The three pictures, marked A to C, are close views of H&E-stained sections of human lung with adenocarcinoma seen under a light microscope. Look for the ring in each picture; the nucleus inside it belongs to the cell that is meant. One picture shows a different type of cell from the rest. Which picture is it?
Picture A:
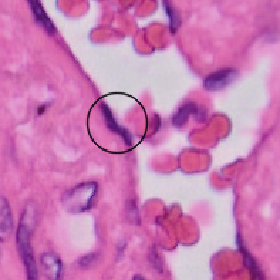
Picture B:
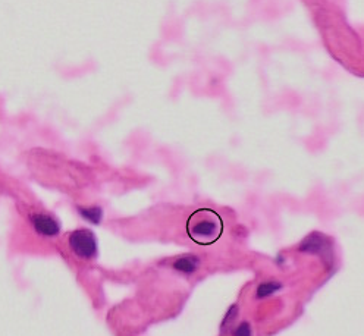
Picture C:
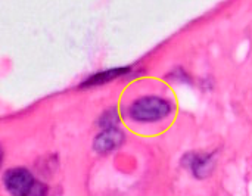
C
